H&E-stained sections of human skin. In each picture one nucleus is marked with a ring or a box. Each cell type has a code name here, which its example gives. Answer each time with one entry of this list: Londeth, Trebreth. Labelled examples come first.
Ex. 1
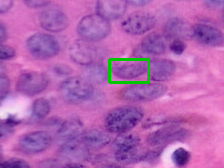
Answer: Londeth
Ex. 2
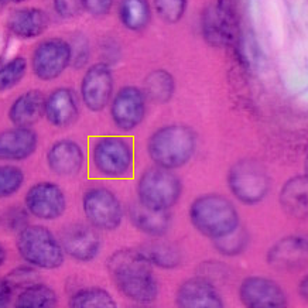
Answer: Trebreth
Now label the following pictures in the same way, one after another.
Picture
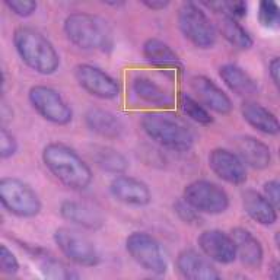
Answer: Londeth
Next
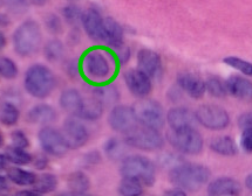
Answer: Londeth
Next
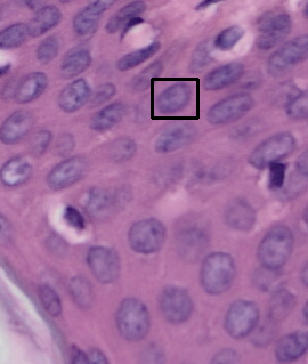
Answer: Trebreth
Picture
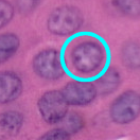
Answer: Trebreth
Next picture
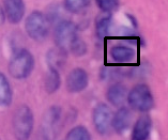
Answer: Londeth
